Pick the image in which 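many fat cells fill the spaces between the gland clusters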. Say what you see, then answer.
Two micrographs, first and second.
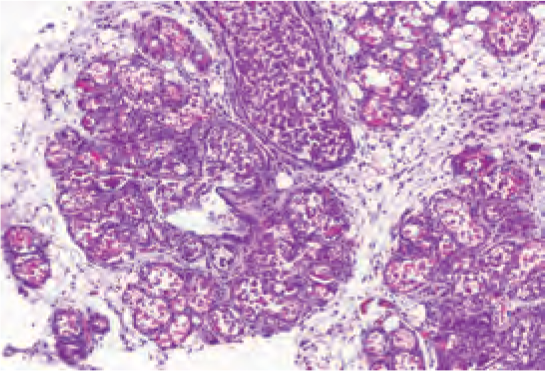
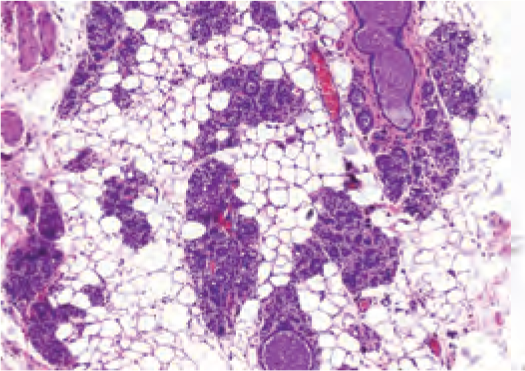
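First image: purple epithelial clusters packed together with little clear space. Second image: large clear empty fat cells occupy much of the field between small purple clusters. On this evidence: the second image.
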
